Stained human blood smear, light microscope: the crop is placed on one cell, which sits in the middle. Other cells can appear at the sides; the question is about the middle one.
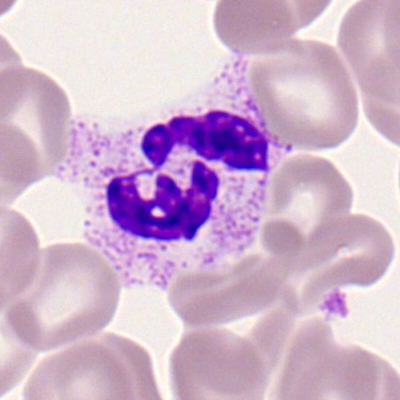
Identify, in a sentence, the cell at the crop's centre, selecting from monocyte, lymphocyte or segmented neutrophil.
On this slide crop, the central cell is a segmented neutrophil.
